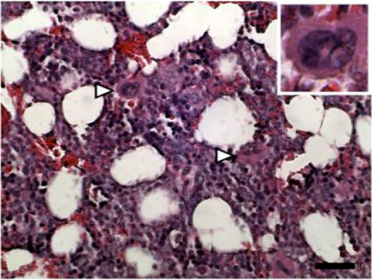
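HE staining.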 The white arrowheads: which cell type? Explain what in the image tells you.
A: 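Megakaryocytes. The inset shows a large cell with a big, dark, lobulated nucleus. The marked cells are much larger than the neighbouring small round cells.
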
